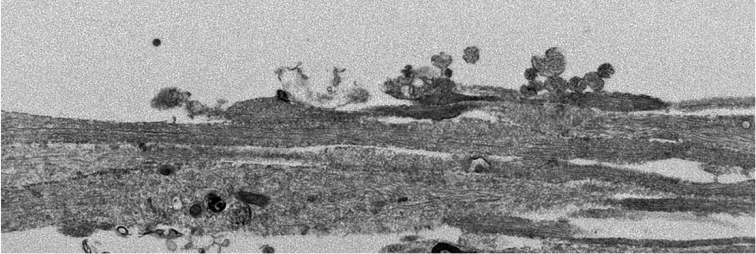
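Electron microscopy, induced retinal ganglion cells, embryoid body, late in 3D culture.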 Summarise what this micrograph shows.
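This is a longitudinal view of a bundle of nerve fibres, seen by electron microscopy. Straight axons of varying thickness run side by side across the field. None of them is wrapped in dark myelin sheaths. Inside, fine lengthwise tubules and filaments give them a streaked texture. Small rounded profiles and debris lie along their upper surface.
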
